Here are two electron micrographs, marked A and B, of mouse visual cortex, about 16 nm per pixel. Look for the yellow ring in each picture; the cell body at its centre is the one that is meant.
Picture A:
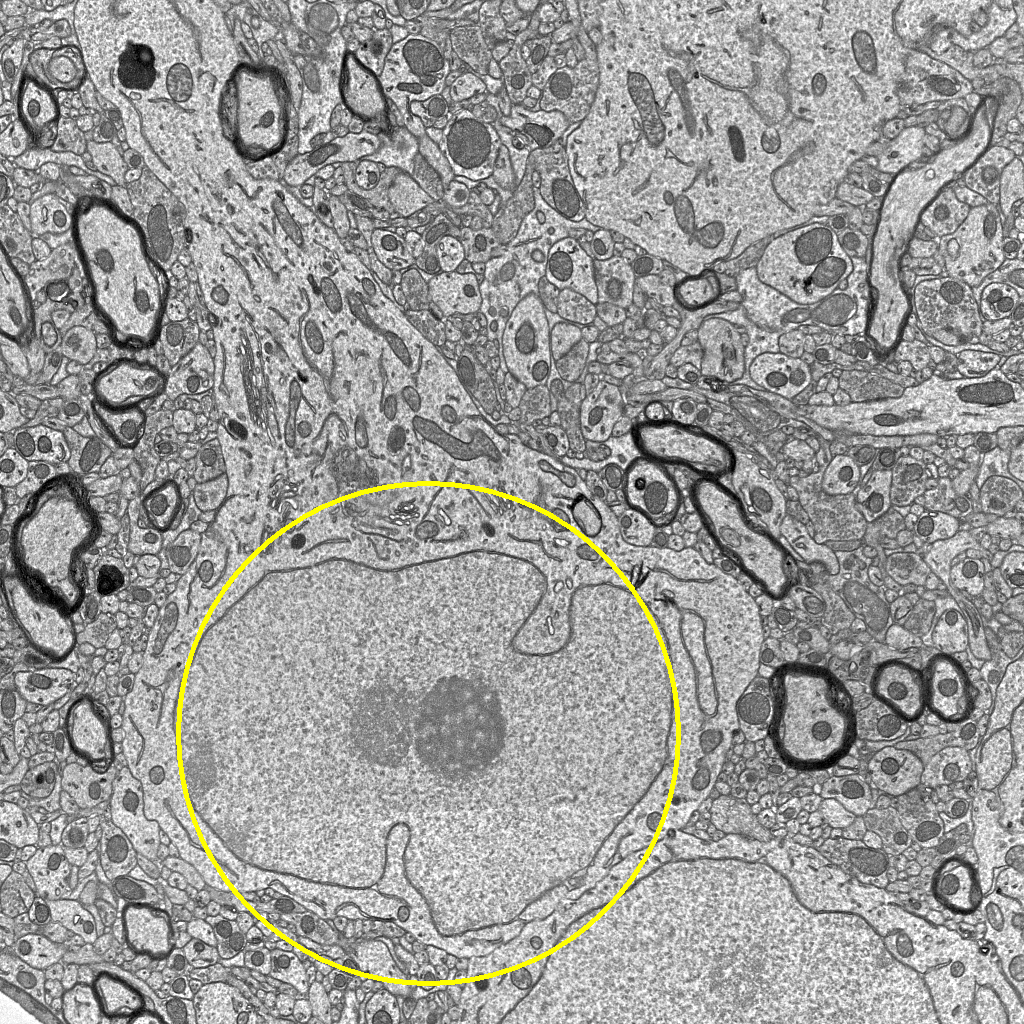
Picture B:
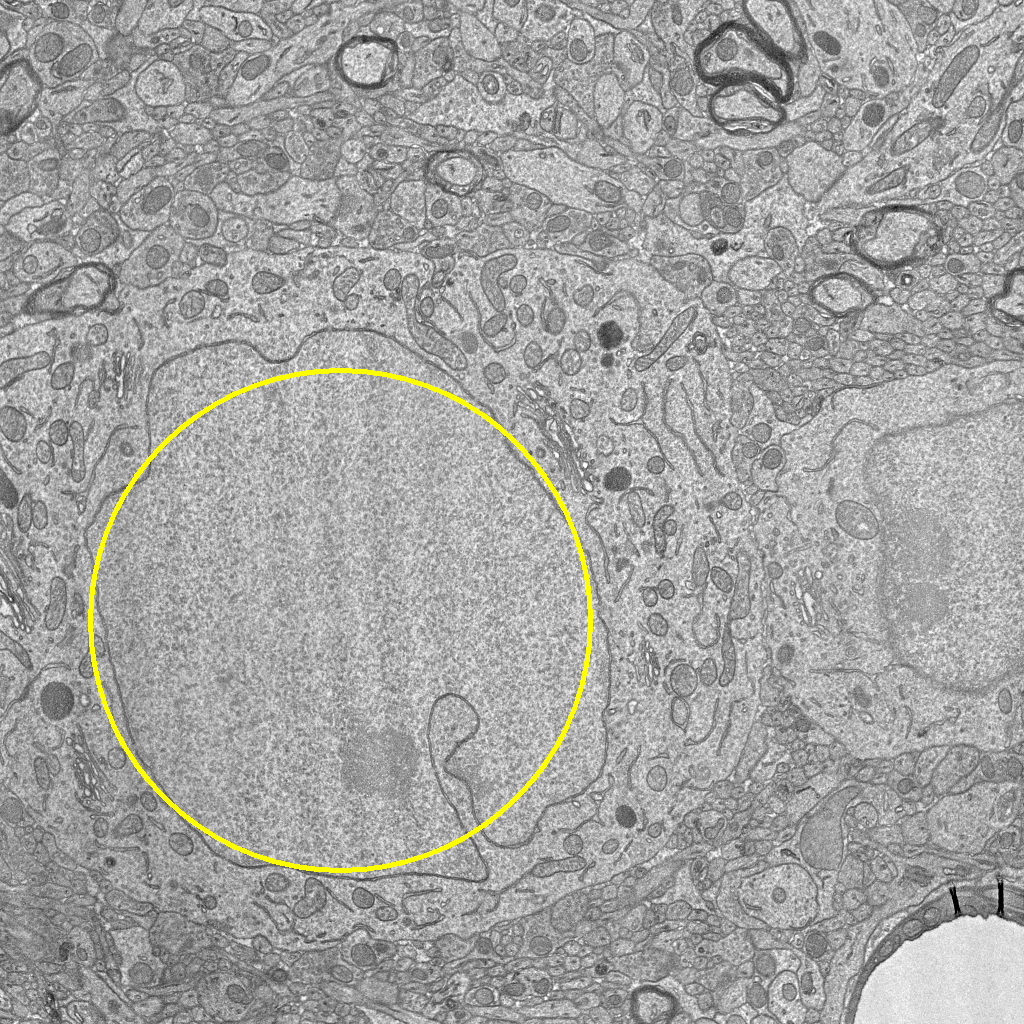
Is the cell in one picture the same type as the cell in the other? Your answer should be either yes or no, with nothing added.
no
